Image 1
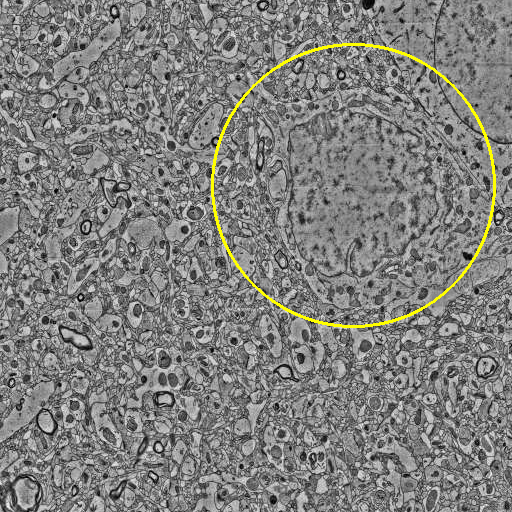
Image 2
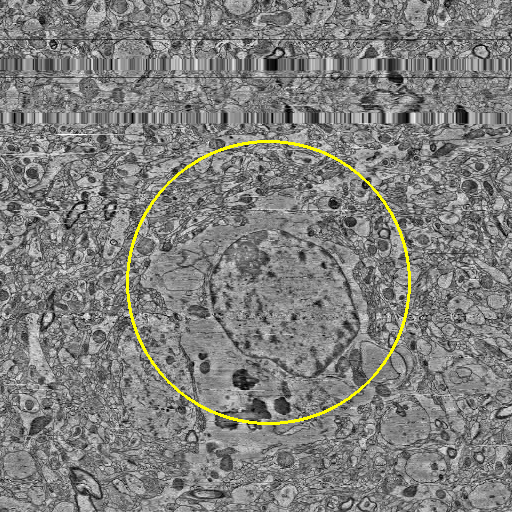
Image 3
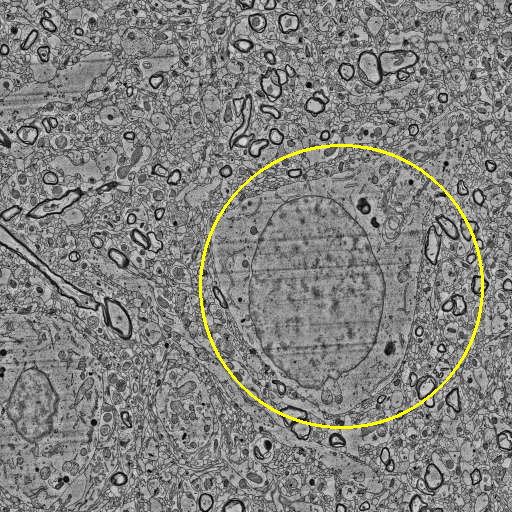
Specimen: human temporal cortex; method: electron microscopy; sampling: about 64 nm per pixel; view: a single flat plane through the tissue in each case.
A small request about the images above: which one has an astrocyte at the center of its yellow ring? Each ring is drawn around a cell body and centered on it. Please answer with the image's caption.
Image 2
